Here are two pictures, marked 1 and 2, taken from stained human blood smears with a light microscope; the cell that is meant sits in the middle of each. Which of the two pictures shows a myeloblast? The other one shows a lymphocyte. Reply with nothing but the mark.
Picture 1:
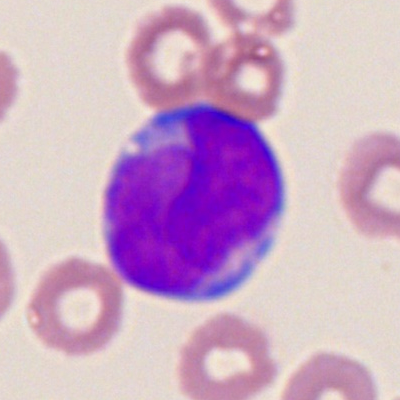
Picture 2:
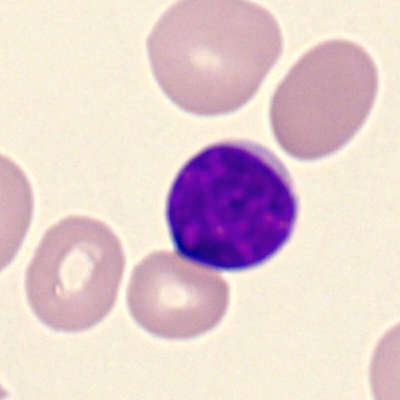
1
